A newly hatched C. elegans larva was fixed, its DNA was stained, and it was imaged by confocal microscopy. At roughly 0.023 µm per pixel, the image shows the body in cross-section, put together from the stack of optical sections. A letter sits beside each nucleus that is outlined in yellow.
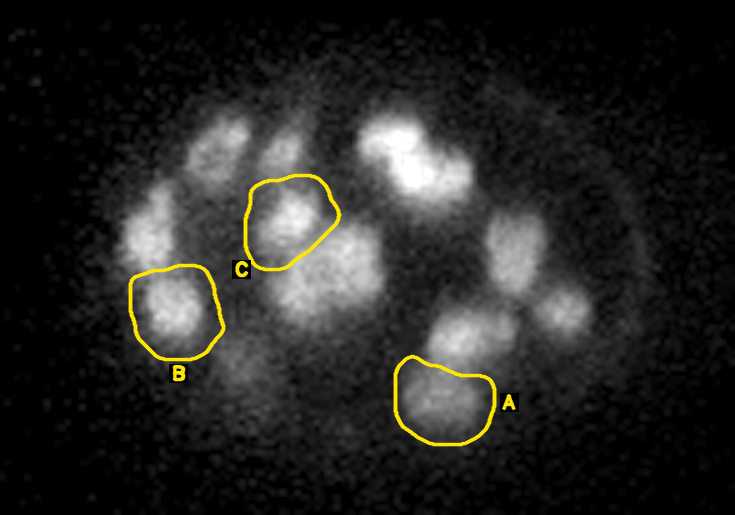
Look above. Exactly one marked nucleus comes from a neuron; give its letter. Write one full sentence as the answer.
Of the marked nuclei, B is the one in a neuron.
